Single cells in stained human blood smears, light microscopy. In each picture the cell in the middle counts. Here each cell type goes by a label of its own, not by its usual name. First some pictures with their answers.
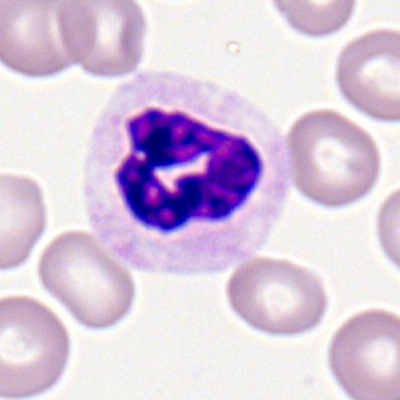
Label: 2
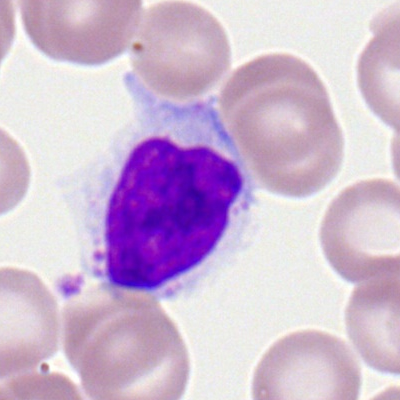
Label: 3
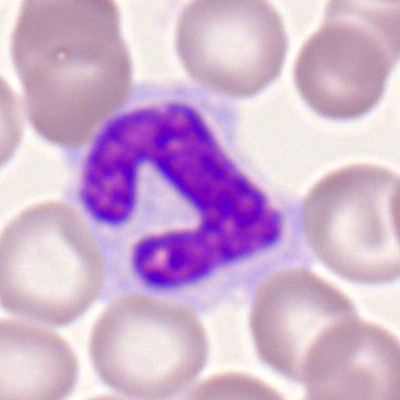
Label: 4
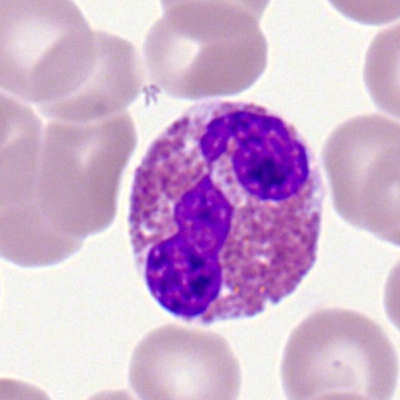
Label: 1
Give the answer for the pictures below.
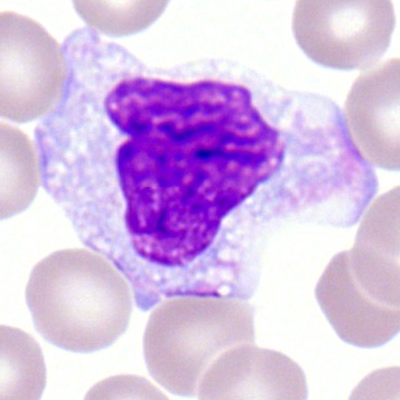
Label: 4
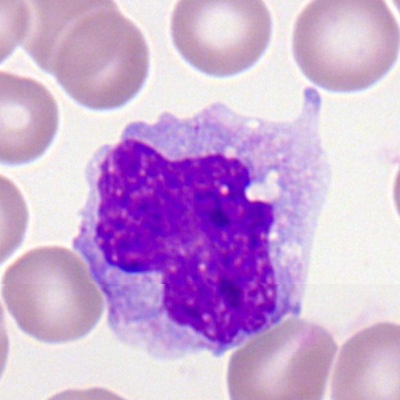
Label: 4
